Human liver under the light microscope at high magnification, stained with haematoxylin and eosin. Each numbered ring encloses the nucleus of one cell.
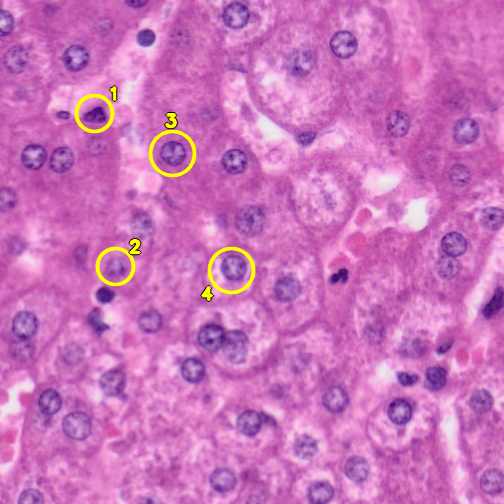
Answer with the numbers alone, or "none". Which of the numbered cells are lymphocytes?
none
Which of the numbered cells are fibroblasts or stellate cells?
1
